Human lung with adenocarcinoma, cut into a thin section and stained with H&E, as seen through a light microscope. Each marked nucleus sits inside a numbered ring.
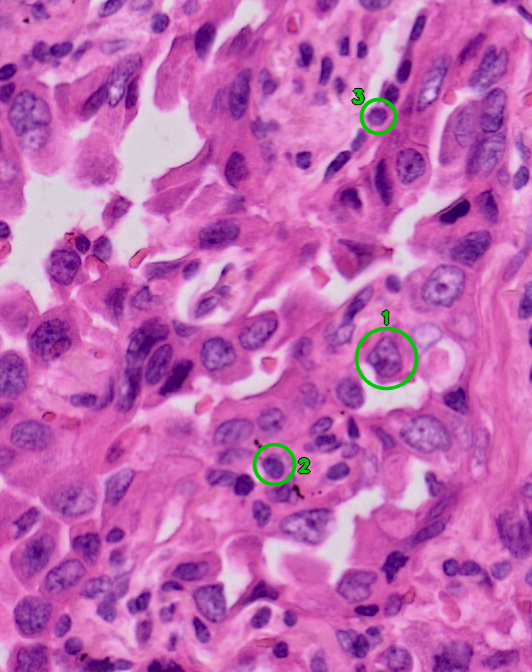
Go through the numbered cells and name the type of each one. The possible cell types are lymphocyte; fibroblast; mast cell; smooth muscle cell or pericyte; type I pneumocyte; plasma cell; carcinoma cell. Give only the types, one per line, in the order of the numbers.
carcinoma cell
lymphocyte
lymphocyte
